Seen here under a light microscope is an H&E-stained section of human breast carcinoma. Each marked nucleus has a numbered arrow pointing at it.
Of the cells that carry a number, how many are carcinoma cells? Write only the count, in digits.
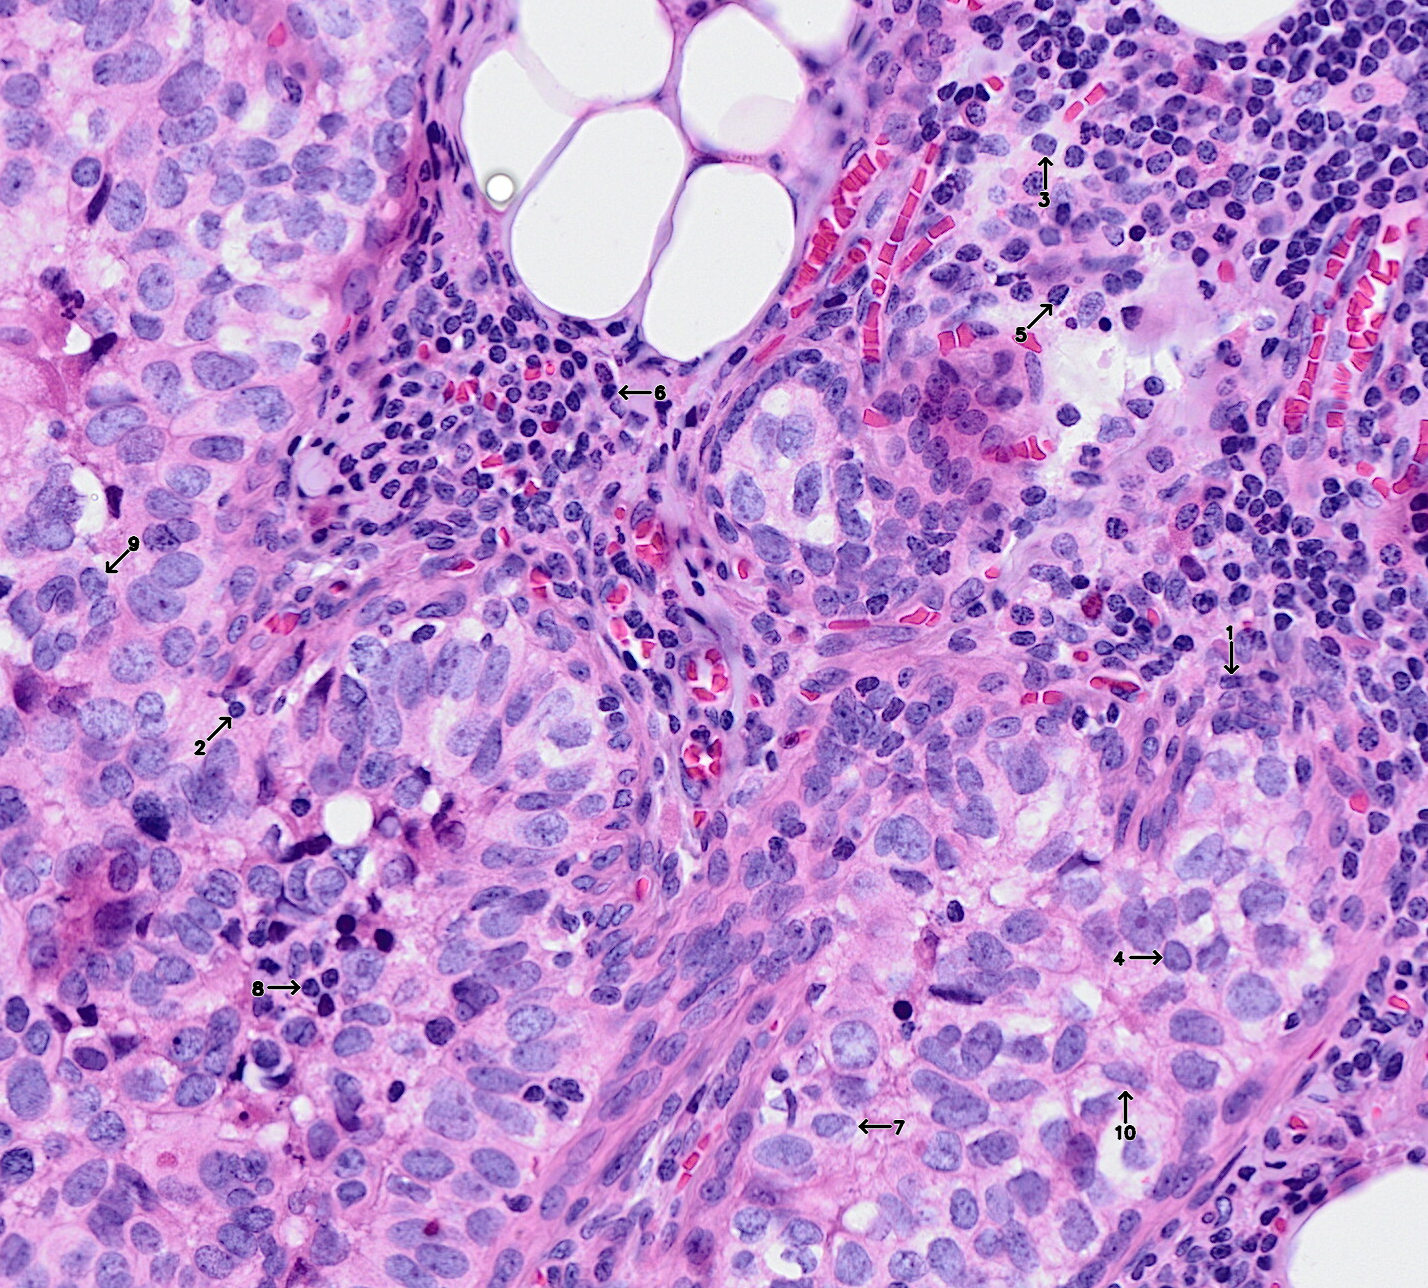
4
